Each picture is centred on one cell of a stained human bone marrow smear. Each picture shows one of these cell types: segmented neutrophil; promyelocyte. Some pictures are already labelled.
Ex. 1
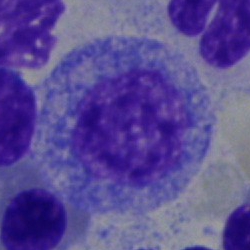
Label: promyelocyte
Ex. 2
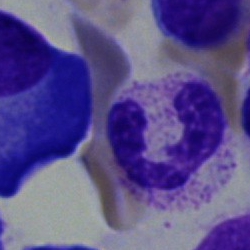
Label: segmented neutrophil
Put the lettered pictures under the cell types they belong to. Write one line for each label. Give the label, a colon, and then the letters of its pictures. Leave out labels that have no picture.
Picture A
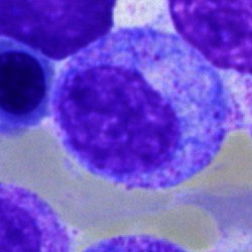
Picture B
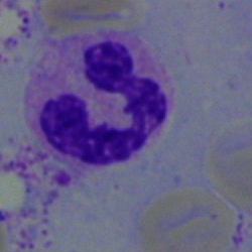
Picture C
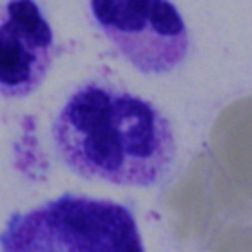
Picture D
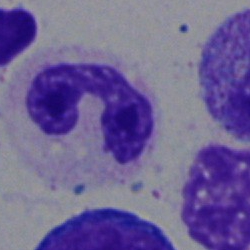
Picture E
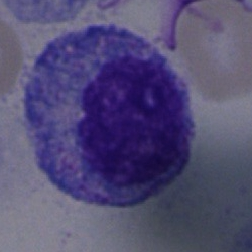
segmented neutrophil: B, C, D
promyelocyte: A, E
